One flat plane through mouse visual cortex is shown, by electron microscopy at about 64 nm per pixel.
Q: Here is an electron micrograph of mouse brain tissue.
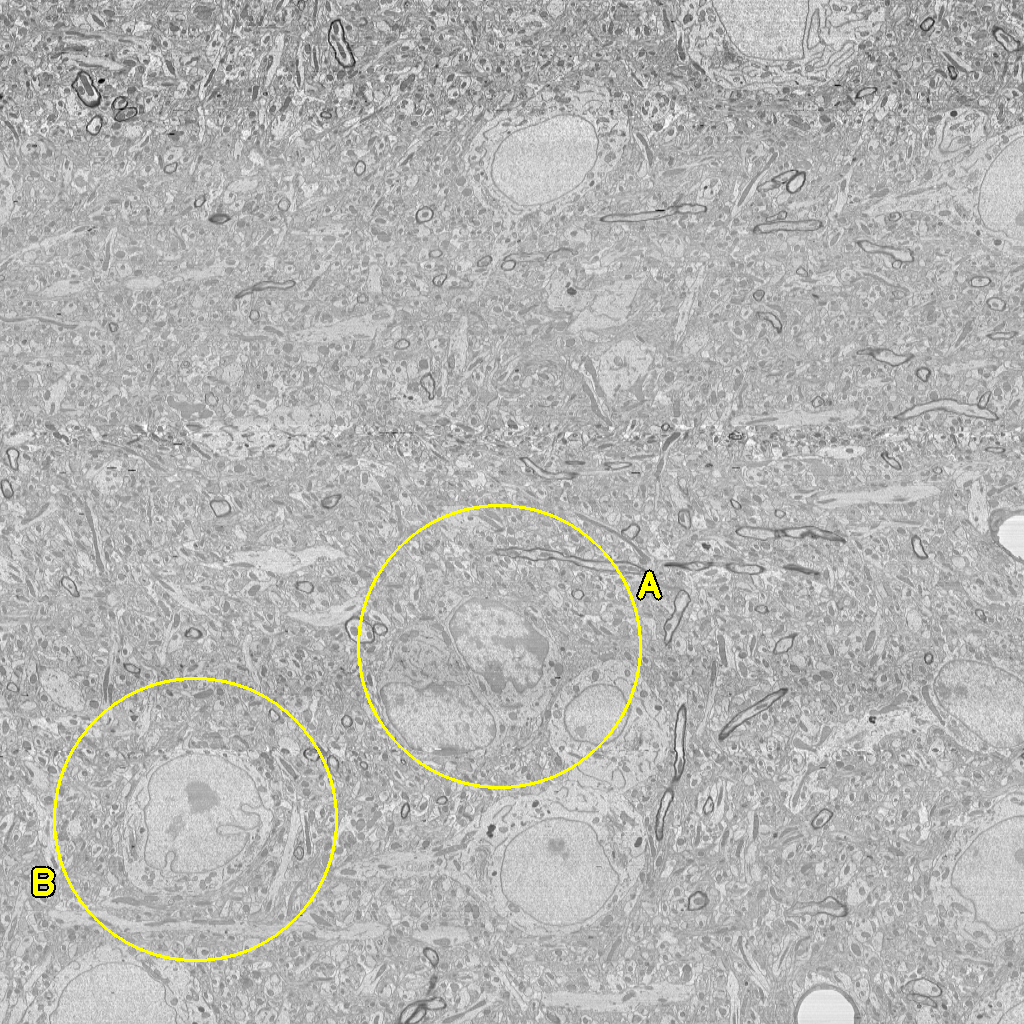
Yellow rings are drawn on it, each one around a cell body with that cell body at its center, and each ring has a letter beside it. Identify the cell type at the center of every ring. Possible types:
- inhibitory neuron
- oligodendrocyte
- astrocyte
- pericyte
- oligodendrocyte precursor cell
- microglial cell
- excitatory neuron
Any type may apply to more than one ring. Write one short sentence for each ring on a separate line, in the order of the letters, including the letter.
Centered in ring A is an oligodendrocyte.
Centered in ring B is an inhibitory neuron.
